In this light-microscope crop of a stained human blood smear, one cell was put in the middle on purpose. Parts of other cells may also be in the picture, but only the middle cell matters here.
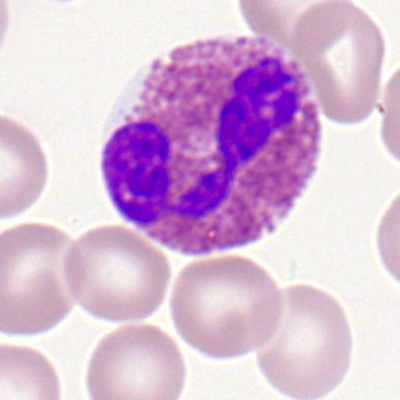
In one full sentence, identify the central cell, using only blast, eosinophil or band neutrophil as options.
At the center of the crop sits an eosinophil.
